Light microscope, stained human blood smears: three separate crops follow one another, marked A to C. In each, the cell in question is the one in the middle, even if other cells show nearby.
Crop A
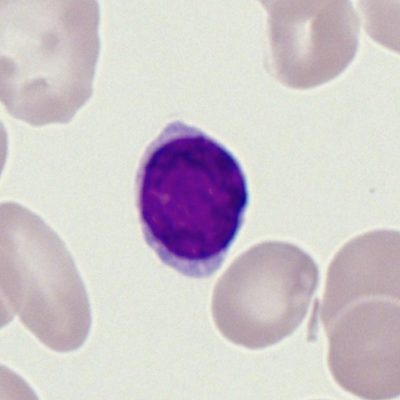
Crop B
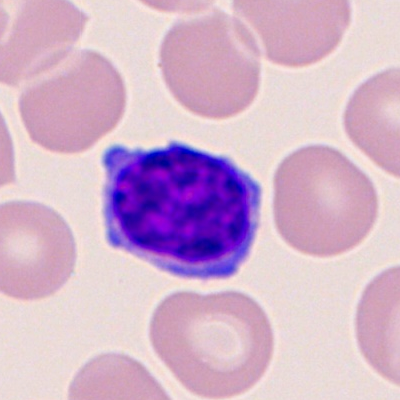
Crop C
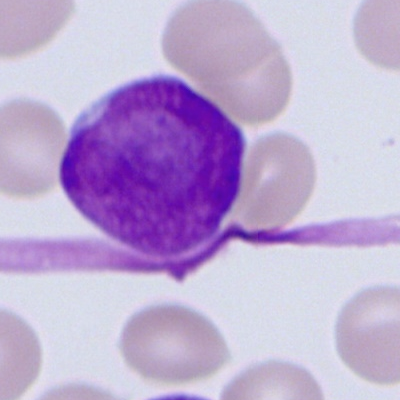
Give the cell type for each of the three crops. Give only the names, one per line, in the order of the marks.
lymphocyte
lymphocyte
myeloblast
